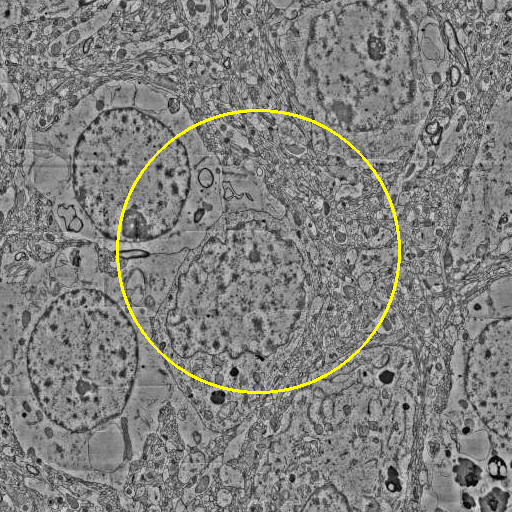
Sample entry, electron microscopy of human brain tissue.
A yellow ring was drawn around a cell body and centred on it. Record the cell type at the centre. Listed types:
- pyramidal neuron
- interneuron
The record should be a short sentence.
The cell at the ring's centre is an interneuron.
